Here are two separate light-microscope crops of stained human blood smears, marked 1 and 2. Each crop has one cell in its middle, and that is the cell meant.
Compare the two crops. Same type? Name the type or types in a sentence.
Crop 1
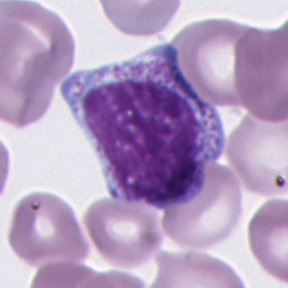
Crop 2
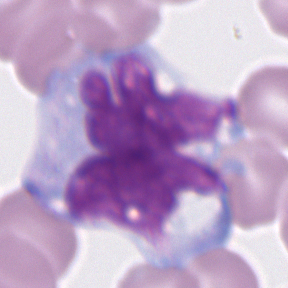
No, crop 1 shows a myelocyte, and it is crop 2 that shows a monocyte.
